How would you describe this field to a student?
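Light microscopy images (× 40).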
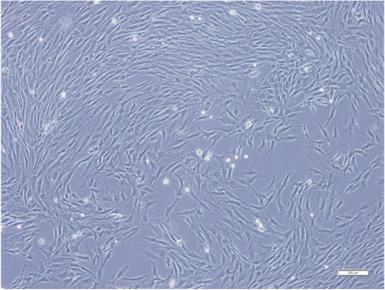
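Most cells are long and spindle-shaped, with tapered ends. They lie close together in parallel streams that curve and swirl across the field. A few small, round, bright cells sit among the flattened spindle cells.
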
